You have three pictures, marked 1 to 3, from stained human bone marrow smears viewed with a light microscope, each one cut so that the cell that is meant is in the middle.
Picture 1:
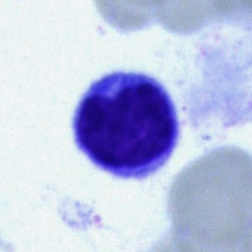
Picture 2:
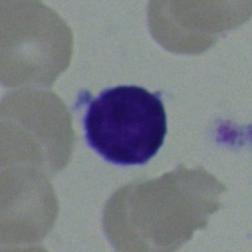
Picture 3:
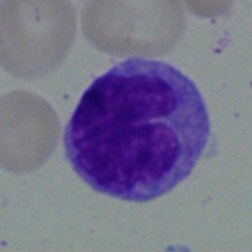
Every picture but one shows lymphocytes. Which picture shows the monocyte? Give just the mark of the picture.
3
